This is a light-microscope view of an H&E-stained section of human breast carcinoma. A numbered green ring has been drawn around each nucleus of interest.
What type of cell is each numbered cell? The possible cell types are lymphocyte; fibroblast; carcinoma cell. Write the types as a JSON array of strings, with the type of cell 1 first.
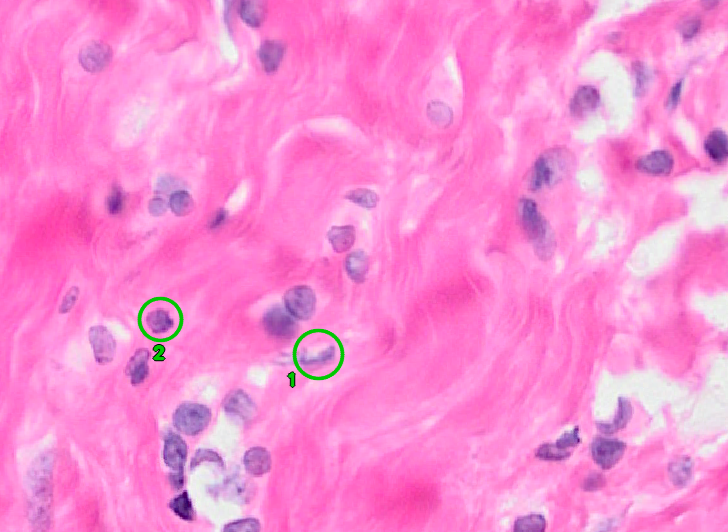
["fibroblast", "lymphocyte"]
